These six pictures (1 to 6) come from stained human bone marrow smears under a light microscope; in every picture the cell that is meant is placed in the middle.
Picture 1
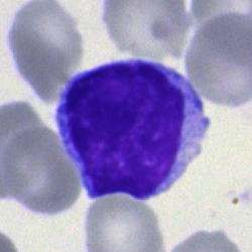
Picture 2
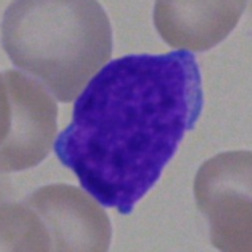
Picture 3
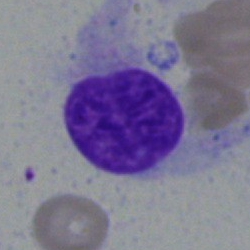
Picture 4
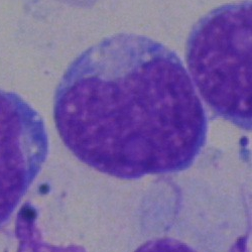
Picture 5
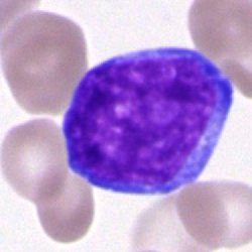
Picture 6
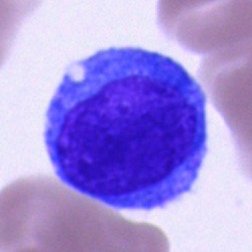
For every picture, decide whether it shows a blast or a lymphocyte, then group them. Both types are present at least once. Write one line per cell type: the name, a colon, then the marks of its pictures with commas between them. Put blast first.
blast: 2, 4, 5, 6
lymphocyte: 1, 3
